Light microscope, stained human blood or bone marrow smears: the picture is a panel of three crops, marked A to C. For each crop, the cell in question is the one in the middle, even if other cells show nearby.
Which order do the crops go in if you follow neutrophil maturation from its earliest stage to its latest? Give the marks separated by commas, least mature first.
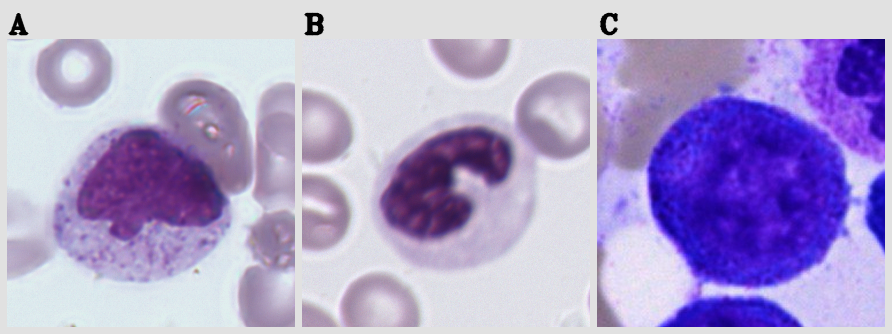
C, A, B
